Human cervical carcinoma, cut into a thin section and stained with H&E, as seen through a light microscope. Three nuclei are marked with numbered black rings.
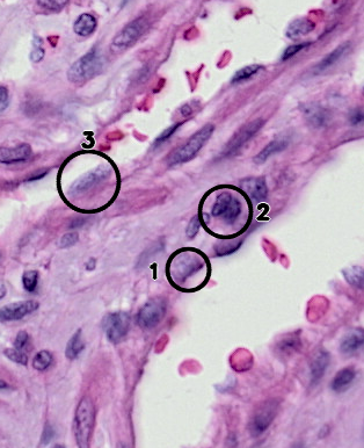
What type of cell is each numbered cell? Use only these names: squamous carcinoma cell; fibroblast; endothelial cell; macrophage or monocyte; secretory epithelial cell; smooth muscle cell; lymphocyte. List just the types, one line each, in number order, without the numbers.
endothelial cell
lymphocyte
endothelial cell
